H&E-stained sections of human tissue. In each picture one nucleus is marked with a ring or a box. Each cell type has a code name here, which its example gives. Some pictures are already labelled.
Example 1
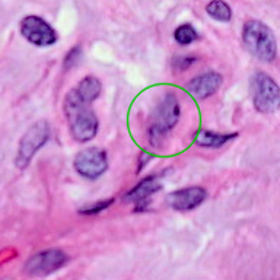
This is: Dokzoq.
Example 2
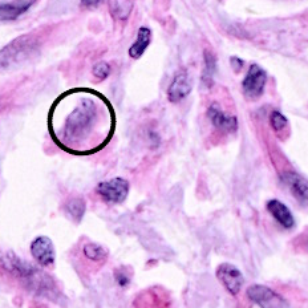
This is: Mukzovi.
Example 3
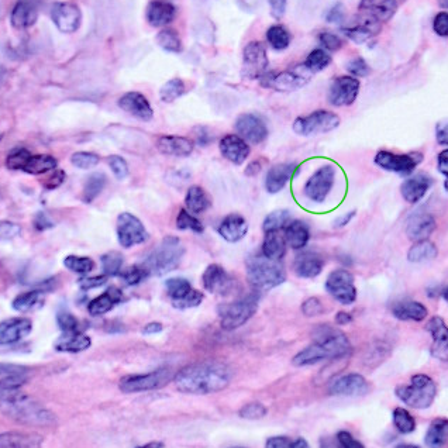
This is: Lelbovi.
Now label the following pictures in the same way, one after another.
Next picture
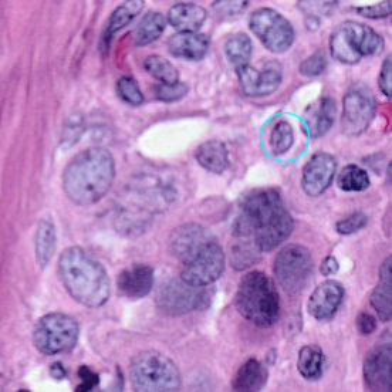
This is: Mukzovi.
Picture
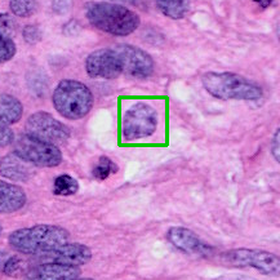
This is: Mukzovi.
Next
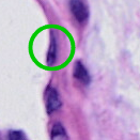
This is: Dokzoq.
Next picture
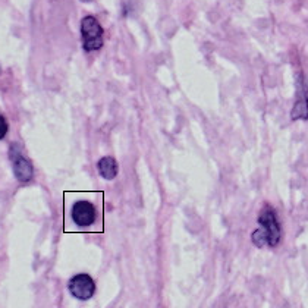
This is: Lelbovi.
